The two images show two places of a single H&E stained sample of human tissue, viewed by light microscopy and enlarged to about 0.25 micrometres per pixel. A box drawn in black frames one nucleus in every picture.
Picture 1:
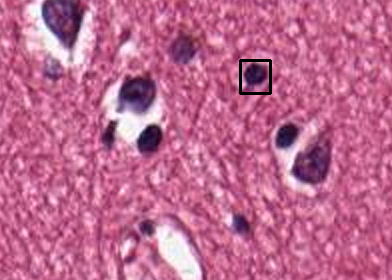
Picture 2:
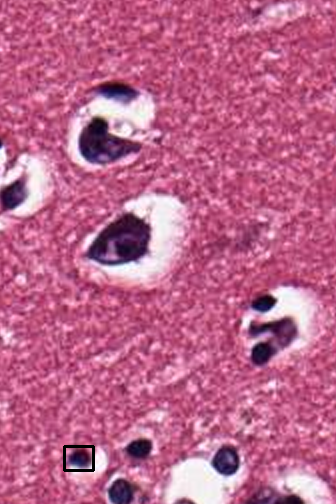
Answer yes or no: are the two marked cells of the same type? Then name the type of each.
Yes, both are oligodendrocytes.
